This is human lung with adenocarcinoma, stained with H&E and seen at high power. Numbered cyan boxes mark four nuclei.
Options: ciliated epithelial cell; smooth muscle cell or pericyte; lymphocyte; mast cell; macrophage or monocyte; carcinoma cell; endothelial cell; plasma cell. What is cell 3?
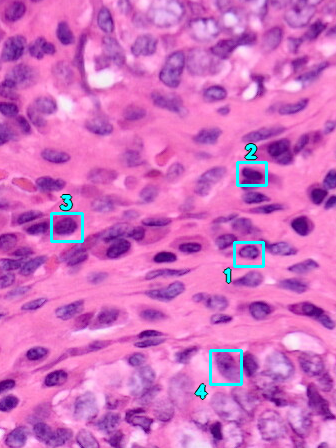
plasma cell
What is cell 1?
mast cell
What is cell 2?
plasma cell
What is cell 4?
ciliated epithelial cell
